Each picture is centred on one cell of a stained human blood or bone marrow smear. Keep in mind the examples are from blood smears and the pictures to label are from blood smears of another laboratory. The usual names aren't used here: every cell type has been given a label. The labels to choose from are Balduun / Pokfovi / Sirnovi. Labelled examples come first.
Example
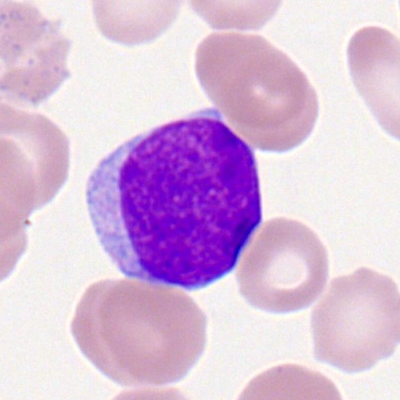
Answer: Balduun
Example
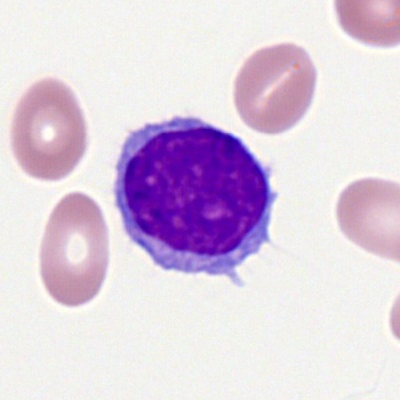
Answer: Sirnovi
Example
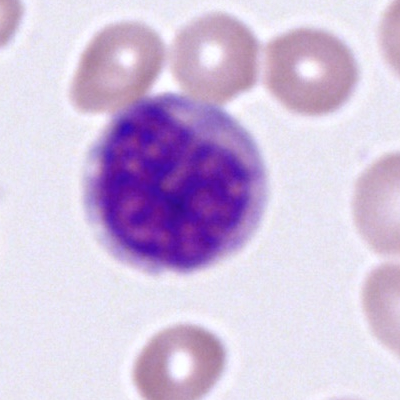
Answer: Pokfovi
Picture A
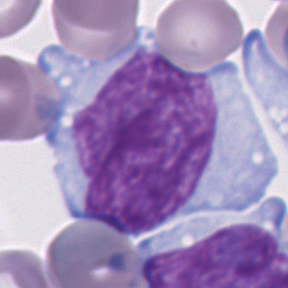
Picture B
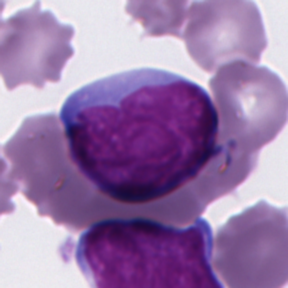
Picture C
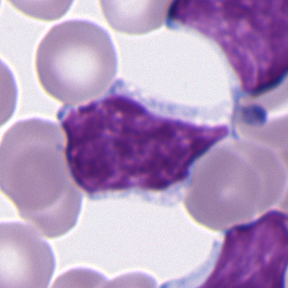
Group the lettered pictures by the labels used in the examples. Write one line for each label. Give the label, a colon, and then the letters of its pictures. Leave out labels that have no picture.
Balduun: A, B
Sirnovi: C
